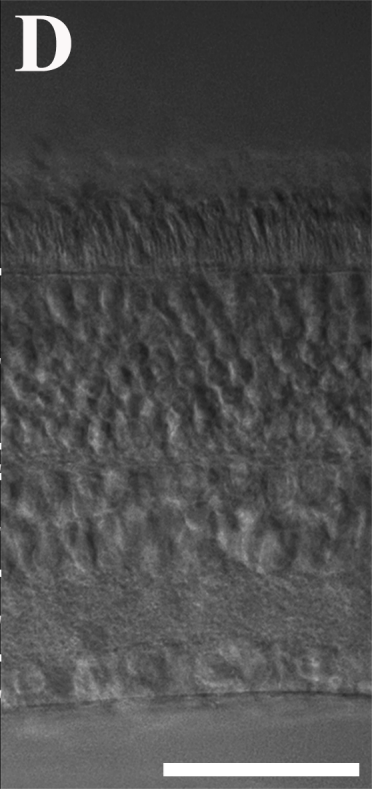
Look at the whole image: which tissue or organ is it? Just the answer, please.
retina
